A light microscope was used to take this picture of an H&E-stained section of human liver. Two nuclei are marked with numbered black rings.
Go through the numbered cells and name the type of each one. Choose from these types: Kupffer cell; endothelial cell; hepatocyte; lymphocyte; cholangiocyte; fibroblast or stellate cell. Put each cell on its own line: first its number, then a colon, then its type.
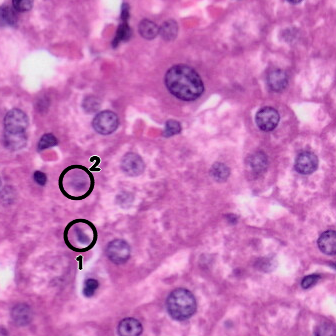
1: endothelial cell
2: hepatocyte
